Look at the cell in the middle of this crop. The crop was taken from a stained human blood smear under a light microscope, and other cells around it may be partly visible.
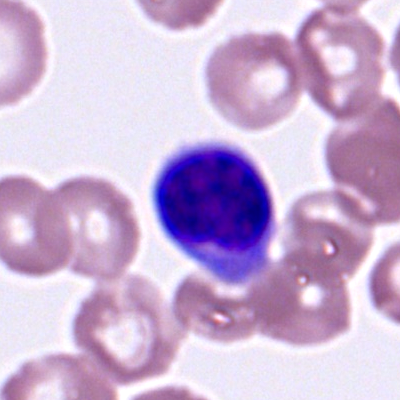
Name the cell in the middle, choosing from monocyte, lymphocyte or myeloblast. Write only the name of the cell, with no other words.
lymphocyte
